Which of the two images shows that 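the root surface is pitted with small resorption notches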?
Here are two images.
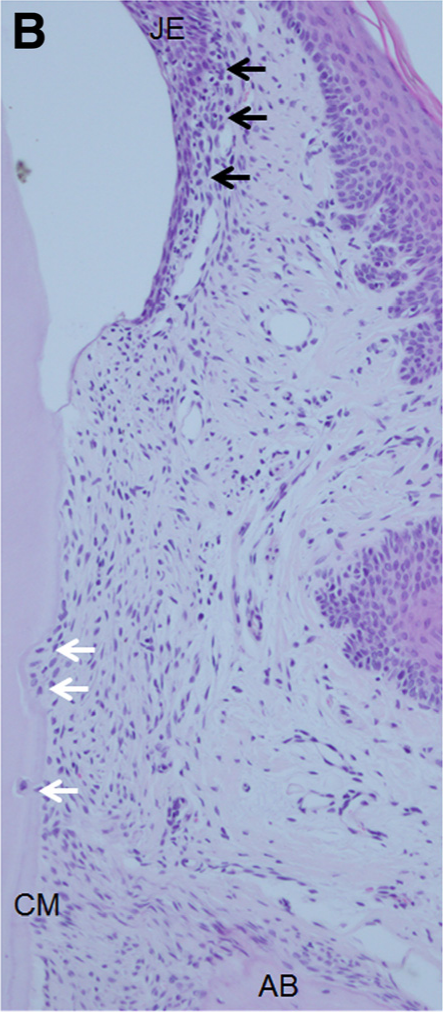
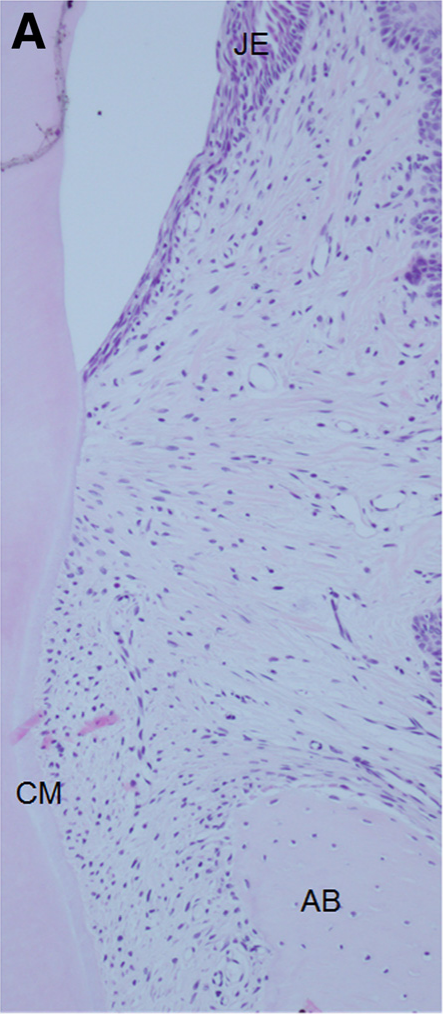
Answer: the first image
